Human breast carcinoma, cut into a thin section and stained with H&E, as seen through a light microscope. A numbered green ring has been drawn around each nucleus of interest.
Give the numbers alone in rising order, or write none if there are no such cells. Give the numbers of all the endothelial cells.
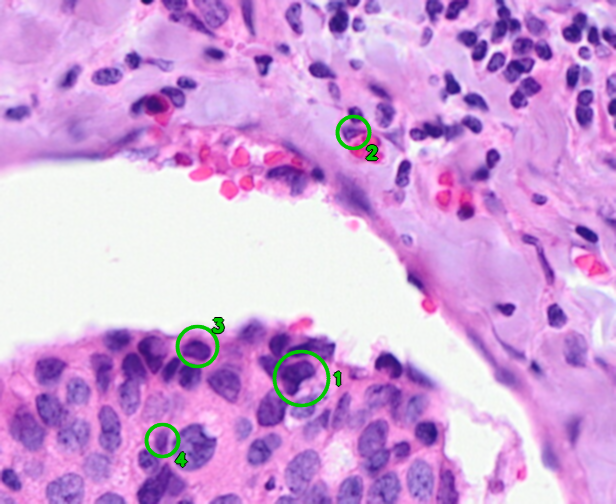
2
